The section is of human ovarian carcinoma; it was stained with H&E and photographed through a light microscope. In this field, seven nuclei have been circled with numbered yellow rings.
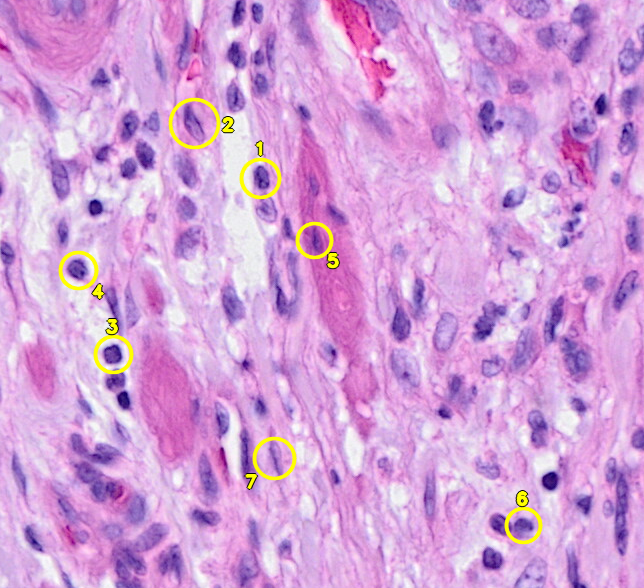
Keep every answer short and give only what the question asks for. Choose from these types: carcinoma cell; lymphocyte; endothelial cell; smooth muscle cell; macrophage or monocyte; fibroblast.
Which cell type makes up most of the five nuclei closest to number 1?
macrophage or monocyte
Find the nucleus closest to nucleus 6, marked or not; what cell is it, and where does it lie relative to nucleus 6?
a lymphocyte to the left of nucleus 6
